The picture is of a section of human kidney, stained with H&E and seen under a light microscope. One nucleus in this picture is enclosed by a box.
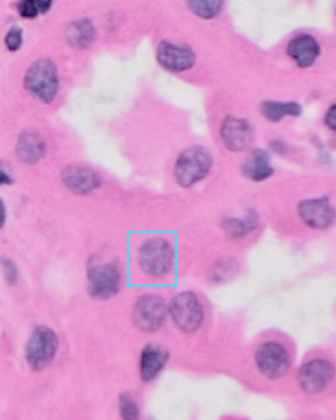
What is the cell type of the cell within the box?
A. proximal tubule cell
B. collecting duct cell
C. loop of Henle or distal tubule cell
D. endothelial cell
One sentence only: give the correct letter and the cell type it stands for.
Right answer, option C: the cell within the box is a loop of Henle or distal tubule cell.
